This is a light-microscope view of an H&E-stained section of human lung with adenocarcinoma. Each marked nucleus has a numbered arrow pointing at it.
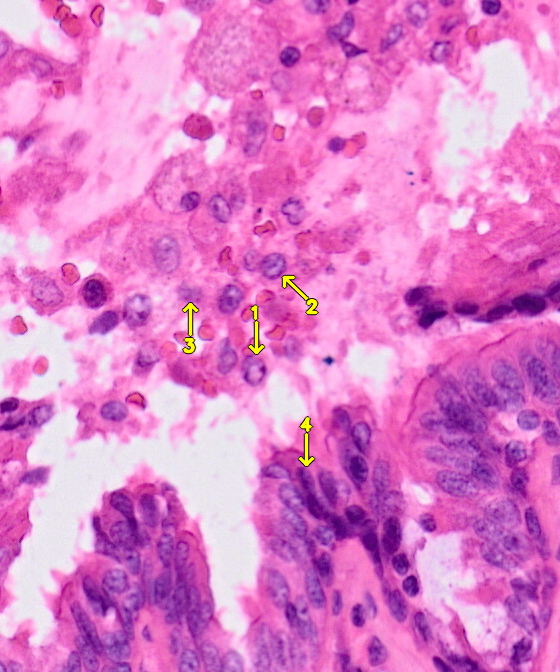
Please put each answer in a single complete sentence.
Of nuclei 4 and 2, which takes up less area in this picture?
Nucleus 4 covers less area, with nucleus 2 about 2 times as large.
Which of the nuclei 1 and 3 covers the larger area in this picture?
Nucleus 1 is larger, with an area about 2 times that of nucleus 3.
